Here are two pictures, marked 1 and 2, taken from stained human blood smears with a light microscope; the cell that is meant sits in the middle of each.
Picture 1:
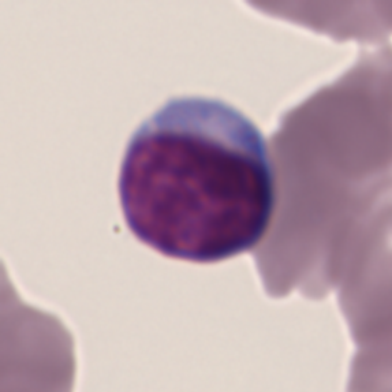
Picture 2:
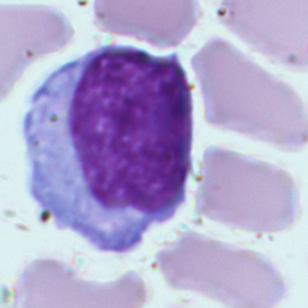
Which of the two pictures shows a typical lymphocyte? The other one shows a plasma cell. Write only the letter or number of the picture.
1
